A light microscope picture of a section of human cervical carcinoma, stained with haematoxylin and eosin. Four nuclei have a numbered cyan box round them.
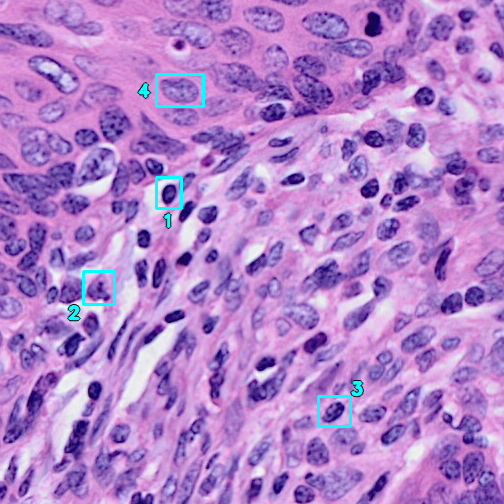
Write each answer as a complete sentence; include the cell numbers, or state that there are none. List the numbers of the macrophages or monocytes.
Cell 2 is a macrophage or monocyte; the remaining numbered cells are not.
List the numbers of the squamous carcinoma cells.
Only one marked cell, number 4, is a squamous carcinoma cell.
